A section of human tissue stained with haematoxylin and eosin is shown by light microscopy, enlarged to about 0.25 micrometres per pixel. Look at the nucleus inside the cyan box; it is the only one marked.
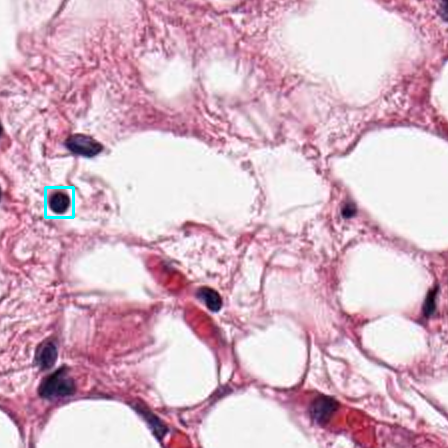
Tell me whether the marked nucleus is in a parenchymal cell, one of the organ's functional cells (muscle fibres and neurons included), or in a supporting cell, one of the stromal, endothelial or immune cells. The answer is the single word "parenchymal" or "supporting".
supporting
